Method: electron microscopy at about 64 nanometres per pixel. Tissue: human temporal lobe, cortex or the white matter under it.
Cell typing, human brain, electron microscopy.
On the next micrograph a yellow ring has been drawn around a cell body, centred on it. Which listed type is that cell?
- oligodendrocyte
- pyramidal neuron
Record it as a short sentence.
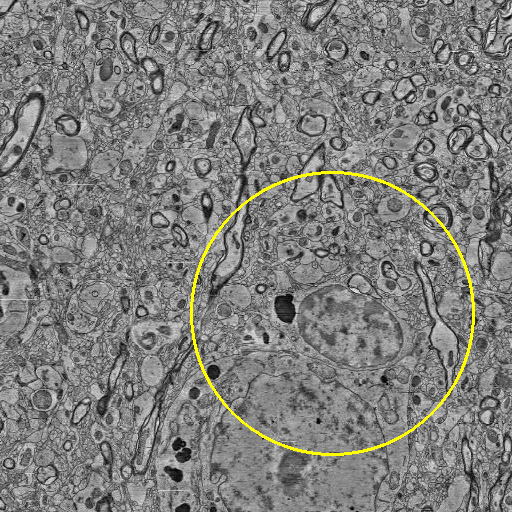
The cell body in the ring's centre belongs to an oligodendrocyte.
